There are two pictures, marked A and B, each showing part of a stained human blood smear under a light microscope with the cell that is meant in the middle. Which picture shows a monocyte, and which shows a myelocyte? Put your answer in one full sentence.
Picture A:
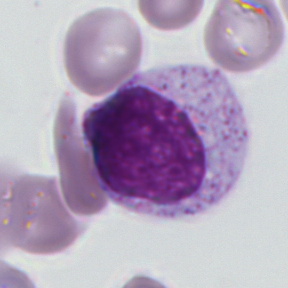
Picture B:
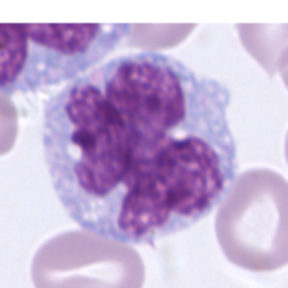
Picture A shows a myelocyte and picture B shows a monocyte.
